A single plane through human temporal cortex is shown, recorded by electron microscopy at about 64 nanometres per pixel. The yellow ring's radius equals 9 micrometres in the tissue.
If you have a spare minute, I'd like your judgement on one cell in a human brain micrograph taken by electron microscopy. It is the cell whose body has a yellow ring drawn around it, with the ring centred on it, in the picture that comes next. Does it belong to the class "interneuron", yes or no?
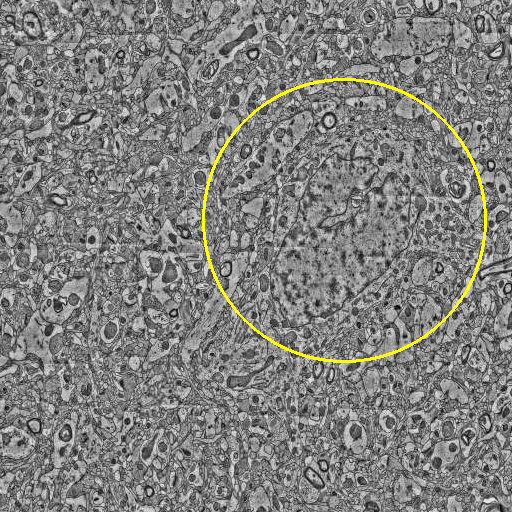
Yes, it belongs to that class.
